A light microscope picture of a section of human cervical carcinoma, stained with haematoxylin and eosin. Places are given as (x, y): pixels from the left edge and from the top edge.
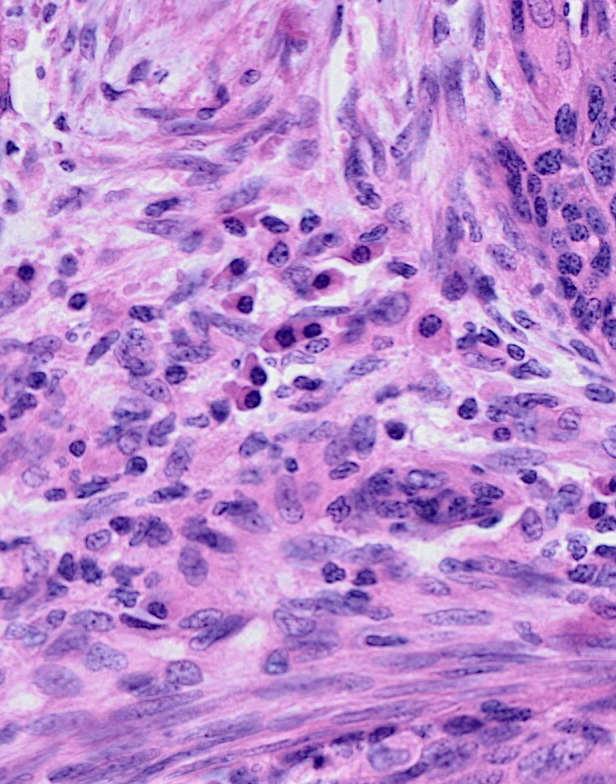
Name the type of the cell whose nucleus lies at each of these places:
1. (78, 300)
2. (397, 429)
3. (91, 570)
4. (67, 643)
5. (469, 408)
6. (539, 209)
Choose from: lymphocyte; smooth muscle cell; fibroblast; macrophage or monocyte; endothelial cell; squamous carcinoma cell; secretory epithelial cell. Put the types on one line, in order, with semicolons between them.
lymphocyte; lymphocyte; lymphocyte; endothelial cell; lymphocyte; squamous carcinoma cell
